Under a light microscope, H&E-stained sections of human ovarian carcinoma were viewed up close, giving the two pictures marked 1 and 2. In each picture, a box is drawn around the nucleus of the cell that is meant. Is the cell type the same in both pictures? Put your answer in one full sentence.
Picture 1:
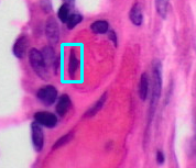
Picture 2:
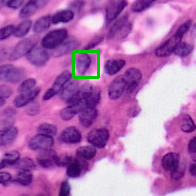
No, they differ: the cell is an endothelial cell in picture 1 and a “macrophage or monocyte” in picture 2.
